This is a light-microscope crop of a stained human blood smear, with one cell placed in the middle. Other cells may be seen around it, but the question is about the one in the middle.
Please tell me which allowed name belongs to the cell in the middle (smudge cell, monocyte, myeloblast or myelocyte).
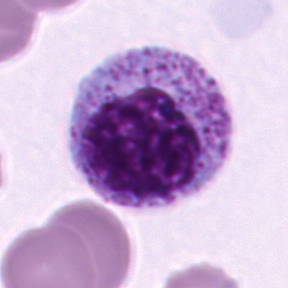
myelocyte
